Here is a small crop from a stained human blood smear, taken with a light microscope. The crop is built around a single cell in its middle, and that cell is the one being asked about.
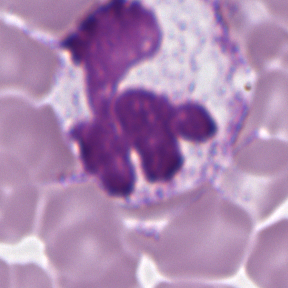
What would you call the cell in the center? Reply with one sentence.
The cell centered in this field of view is a segmented neutrophil.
